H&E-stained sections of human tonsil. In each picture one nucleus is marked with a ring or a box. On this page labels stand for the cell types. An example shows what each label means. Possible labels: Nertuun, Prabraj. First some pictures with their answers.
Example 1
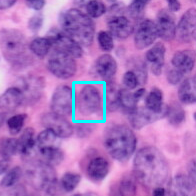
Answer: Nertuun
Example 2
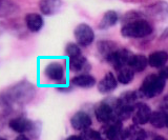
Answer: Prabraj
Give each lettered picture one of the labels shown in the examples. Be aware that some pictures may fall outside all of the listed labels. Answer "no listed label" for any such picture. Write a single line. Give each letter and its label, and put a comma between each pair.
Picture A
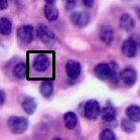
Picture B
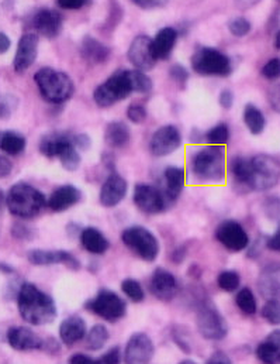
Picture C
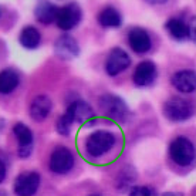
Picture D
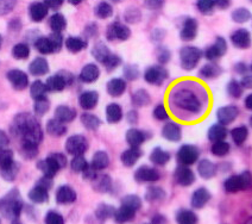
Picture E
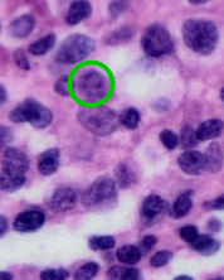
A no listed label, B Nertuun, C no listed label, D no listed label, E Nertuun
